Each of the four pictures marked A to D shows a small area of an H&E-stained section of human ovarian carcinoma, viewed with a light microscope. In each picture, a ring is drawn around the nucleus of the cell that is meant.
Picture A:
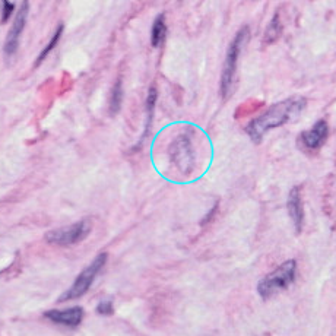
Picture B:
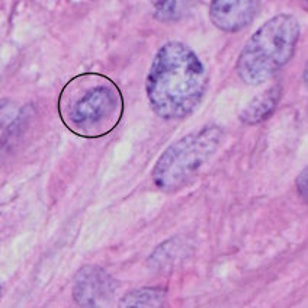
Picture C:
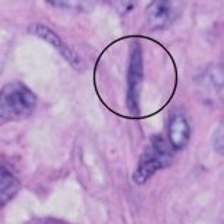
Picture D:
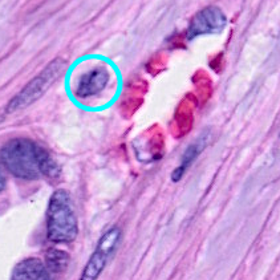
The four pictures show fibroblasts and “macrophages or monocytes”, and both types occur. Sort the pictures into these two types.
A: fibroblast
B: fibroblast
C: fibroblast
D: macrophage or monocyte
